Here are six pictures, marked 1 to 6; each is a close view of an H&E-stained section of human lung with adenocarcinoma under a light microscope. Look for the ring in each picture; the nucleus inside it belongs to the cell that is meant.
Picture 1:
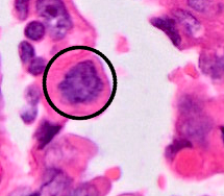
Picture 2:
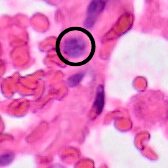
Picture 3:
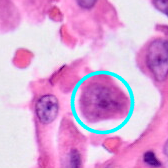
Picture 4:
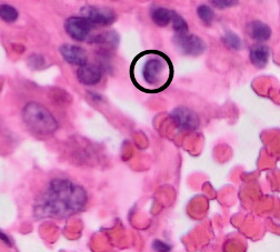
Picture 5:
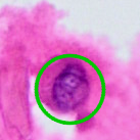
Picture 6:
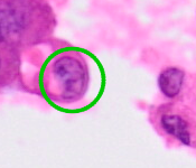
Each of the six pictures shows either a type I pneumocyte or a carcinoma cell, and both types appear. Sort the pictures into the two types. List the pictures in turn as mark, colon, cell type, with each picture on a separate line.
1: carcinoma cell
2: type I pneumocyte
3: carcinoma cell
4: type I pneumocyte
5: carcinoma cell
6: carcinoma cell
